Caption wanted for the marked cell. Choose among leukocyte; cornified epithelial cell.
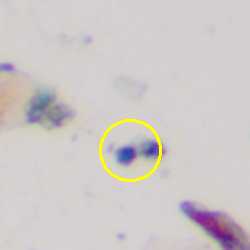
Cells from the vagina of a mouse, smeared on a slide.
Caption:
Ringed in yellow is a leukocyte.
